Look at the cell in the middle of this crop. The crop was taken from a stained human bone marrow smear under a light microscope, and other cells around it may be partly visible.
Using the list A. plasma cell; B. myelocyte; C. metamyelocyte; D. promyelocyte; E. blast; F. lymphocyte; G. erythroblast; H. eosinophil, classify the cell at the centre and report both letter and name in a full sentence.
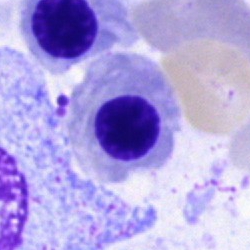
The cell in the center of this crop is an erythroblast, so option G is the one to pick.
